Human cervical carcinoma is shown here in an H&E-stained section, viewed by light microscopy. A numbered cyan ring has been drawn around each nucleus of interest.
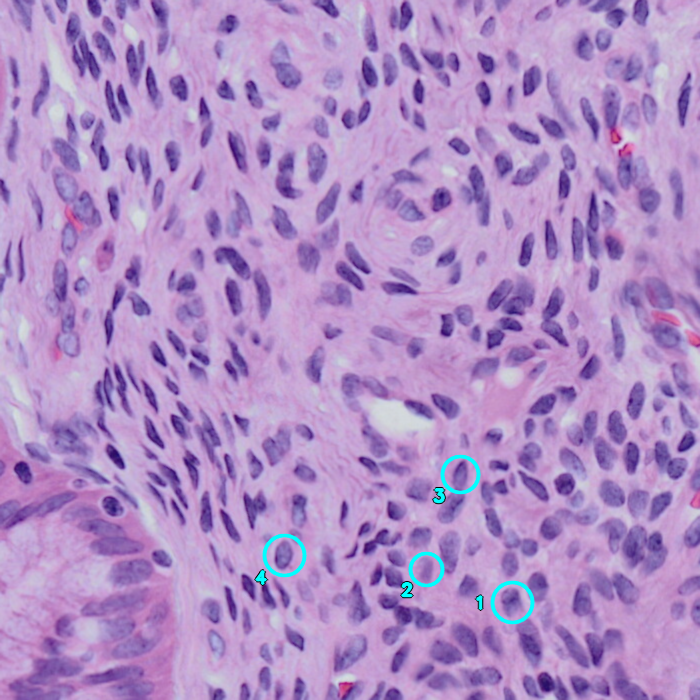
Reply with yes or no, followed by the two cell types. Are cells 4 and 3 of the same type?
No, classify cell 4 as a smooth muscle cell and cell 3 as a fibroblast.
